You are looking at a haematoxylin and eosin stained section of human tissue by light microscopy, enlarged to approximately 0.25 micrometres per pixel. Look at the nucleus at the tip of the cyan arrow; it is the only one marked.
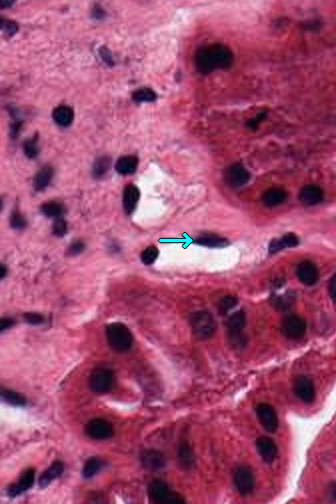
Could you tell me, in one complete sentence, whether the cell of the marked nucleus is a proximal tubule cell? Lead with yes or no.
No, the marked nucleus is not from a proximal tubule cell; a supporting cell is its source.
